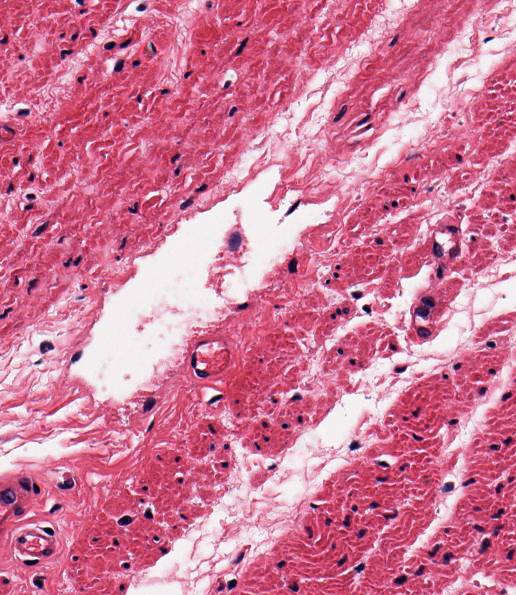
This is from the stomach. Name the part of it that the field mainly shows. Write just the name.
smooth muscle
